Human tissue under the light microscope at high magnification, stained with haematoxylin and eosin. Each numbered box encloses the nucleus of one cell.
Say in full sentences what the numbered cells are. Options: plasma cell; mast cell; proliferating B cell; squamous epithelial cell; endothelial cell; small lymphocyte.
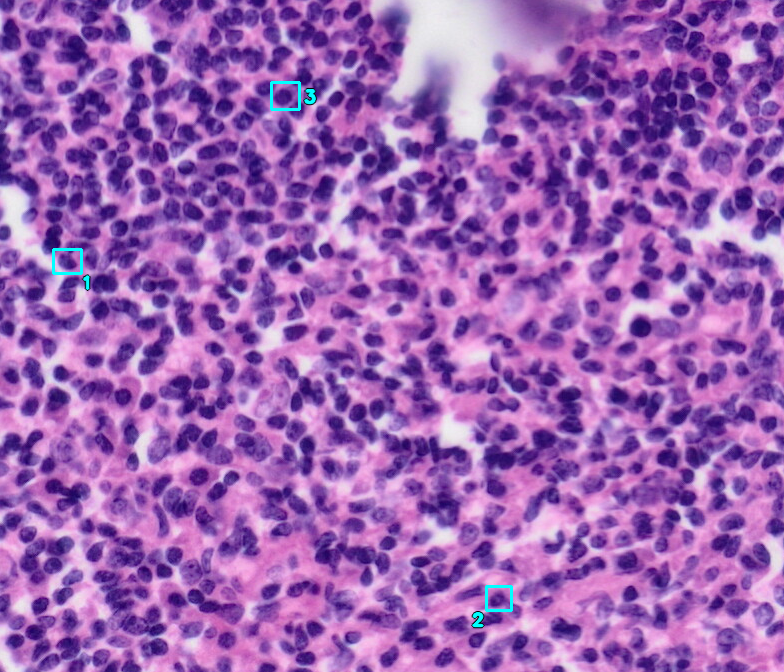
Cell 1 is a small lymphocyte, cell 2 is a plasma cell and cell 3 is a small lymphocyte.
